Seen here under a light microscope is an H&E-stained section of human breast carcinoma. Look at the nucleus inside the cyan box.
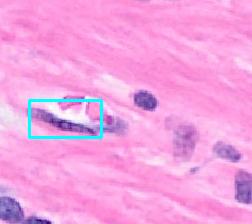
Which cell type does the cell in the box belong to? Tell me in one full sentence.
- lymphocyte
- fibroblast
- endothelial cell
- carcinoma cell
Assigned to a cell type, the cell in the box is an endothelial cell.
